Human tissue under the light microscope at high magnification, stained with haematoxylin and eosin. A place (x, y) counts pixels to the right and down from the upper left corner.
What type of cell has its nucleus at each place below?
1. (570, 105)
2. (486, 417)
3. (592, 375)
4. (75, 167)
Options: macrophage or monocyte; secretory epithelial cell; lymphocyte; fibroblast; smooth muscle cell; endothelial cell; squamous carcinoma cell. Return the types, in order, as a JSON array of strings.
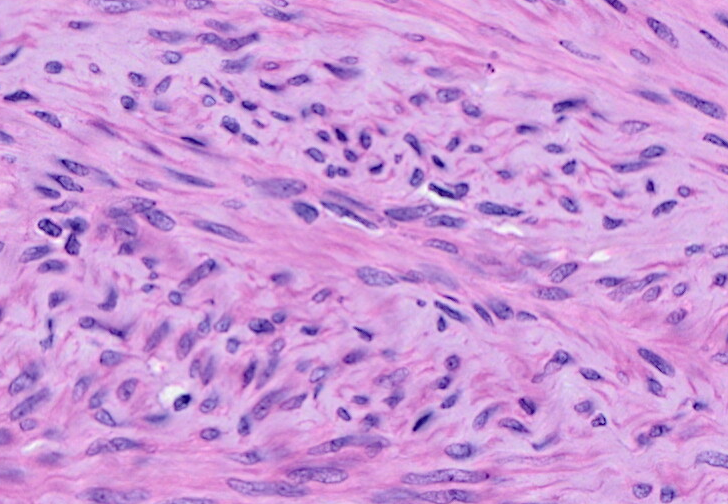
["smooth muscle cell", "smooth muscle cell", "smooth muscle cell", "fibroblast"]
